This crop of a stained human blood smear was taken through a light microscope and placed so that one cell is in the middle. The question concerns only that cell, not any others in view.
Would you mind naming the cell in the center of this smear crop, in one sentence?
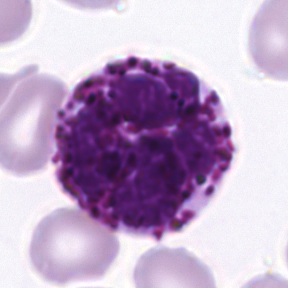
In the middle of this smear crop, the cell is a basophil.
